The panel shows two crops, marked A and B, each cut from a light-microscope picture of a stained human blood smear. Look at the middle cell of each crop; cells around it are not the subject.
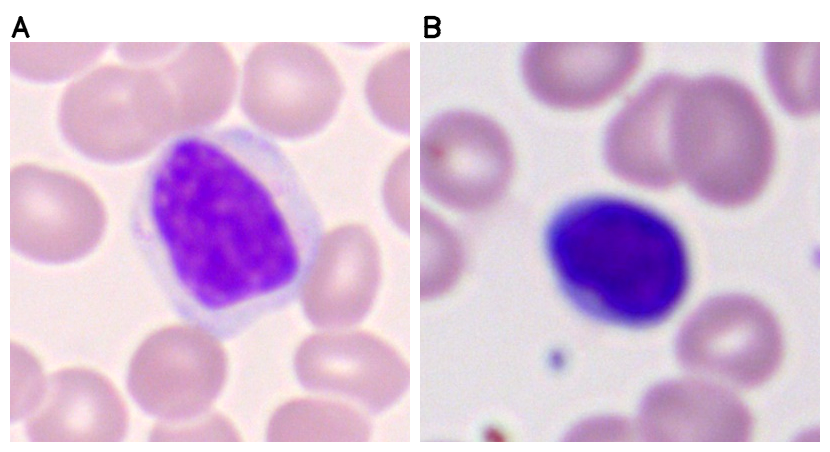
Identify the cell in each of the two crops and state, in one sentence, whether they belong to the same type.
Yes, the two crops show lymphocytes, both of them.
